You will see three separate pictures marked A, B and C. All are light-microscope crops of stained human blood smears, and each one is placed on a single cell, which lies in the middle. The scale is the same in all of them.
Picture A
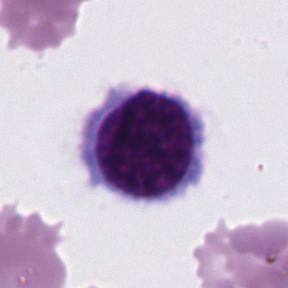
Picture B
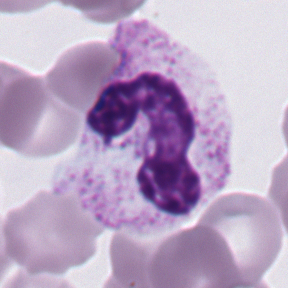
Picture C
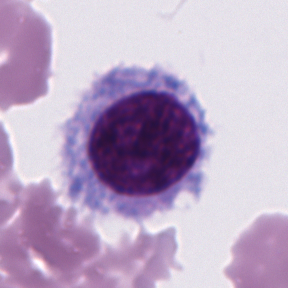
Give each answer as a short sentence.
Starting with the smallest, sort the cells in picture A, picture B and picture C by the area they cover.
The order is A, C, B, beginning with the smallest.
